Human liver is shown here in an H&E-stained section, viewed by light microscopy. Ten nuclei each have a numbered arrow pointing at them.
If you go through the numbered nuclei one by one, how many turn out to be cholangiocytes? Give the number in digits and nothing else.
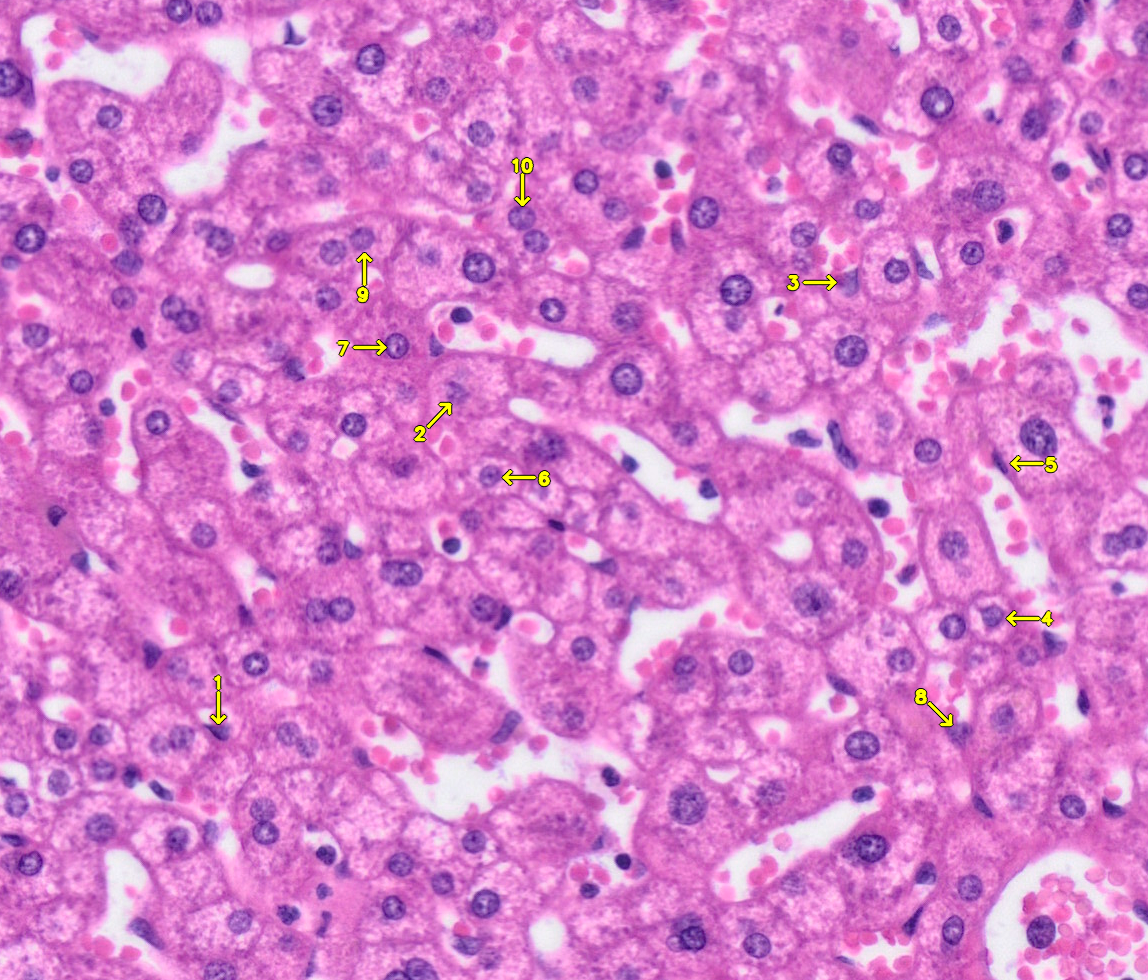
0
